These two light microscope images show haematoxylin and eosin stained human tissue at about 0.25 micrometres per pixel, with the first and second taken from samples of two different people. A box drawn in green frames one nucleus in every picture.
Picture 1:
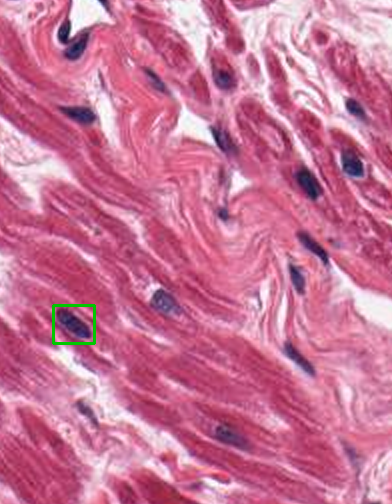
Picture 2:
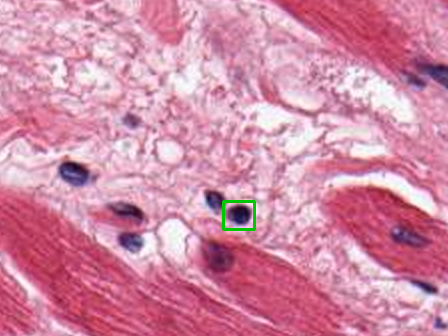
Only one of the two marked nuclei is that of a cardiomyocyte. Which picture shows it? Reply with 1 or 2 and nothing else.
1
